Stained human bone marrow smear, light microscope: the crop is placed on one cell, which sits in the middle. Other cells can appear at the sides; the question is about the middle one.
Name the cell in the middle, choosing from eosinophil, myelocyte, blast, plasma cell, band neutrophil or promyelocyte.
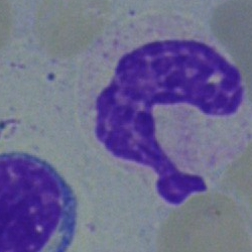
band neutrophil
